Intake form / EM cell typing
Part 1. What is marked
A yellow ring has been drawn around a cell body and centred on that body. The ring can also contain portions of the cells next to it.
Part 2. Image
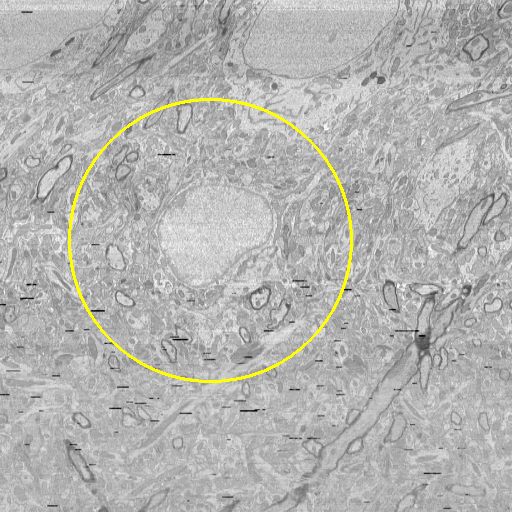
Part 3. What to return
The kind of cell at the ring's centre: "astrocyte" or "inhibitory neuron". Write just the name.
astrocyte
